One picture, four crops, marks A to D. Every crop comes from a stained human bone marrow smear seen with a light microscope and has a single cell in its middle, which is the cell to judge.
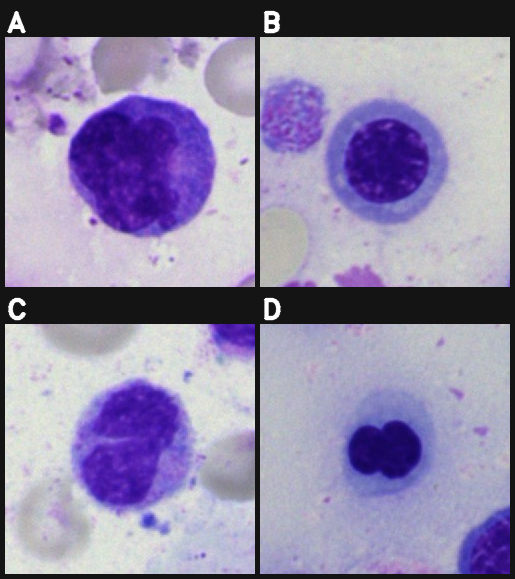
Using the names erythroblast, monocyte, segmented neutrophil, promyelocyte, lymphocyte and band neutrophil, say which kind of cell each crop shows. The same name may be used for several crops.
A: monocyte
B: erythroblast
C: monocyte
D: erythroblast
